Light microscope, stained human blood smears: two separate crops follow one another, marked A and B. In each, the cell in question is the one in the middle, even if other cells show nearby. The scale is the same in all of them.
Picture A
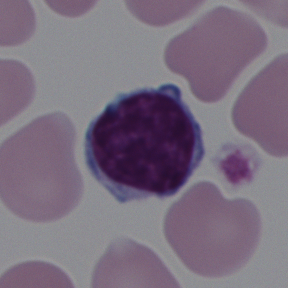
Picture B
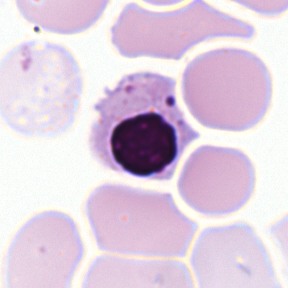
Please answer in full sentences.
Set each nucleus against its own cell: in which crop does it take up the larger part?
It is the cell in picture A that is filled more by its nucleus.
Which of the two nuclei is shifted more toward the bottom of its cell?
Seen within its cell, the nucleus in picture B lies further toward the bottom.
